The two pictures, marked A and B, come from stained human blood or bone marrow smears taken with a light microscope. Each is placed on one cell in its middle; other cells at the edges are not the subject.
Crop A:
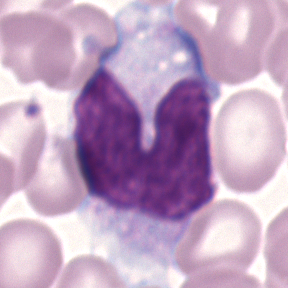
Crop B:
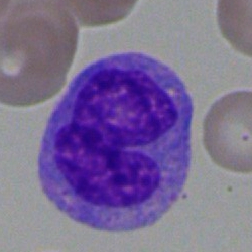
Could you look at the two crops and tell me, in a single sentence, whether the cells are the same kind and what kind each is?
Yes, they do, both crops show monocytes.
